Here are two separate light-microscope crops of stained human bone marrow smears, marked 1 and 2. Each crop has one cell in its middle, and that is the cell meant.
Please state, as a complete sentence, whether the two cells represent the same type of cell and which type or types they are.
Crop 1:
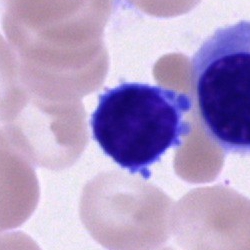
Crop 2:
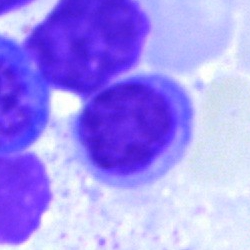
Yes, both crops have lymphocytes at the centre.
